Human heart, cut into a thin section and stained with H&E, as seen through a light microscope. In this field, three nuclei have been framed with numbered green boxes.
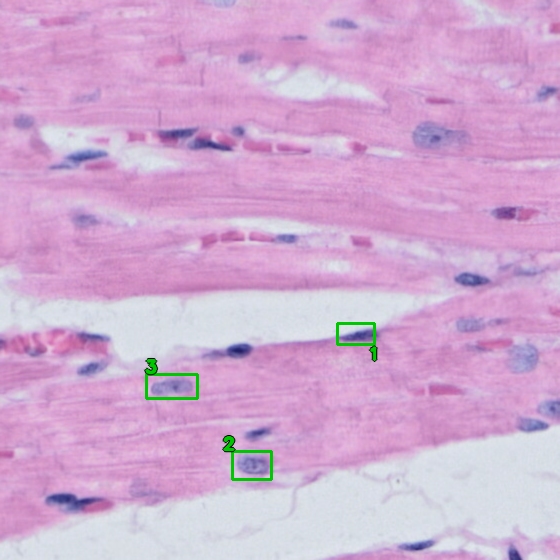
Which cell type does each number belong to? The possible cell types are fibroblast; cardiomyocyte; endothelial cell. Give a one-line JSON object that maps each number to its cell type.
{"1": "endothelial cell", "2": "cardiomyocyte", "3": "cardiomyocyte"}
